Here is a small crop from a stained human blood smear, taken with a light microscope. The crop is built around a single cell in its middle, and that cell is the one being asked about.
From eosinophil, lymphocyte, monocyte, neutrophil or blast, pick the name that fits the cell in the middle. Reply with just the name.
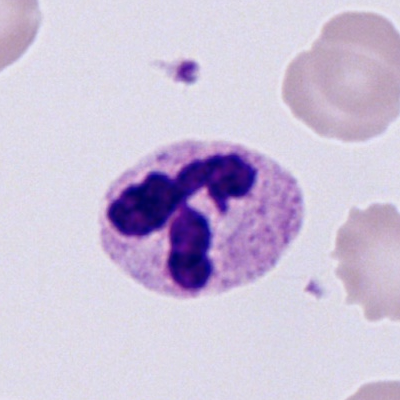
neutrophil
